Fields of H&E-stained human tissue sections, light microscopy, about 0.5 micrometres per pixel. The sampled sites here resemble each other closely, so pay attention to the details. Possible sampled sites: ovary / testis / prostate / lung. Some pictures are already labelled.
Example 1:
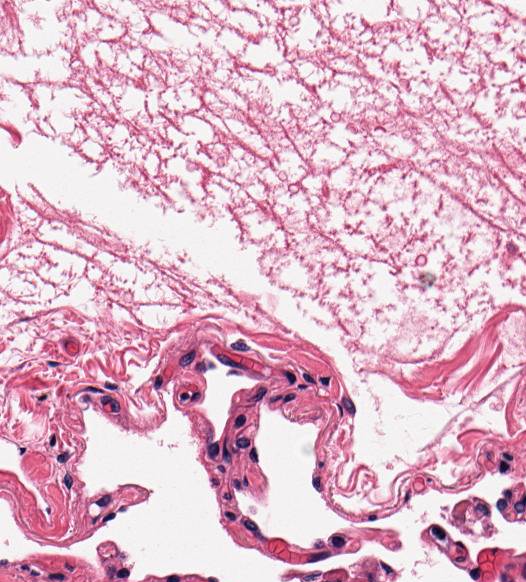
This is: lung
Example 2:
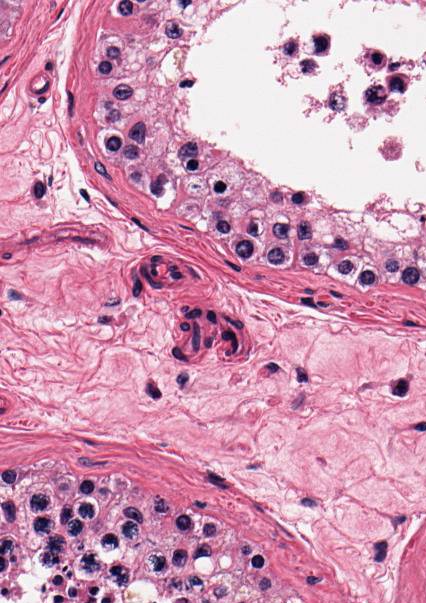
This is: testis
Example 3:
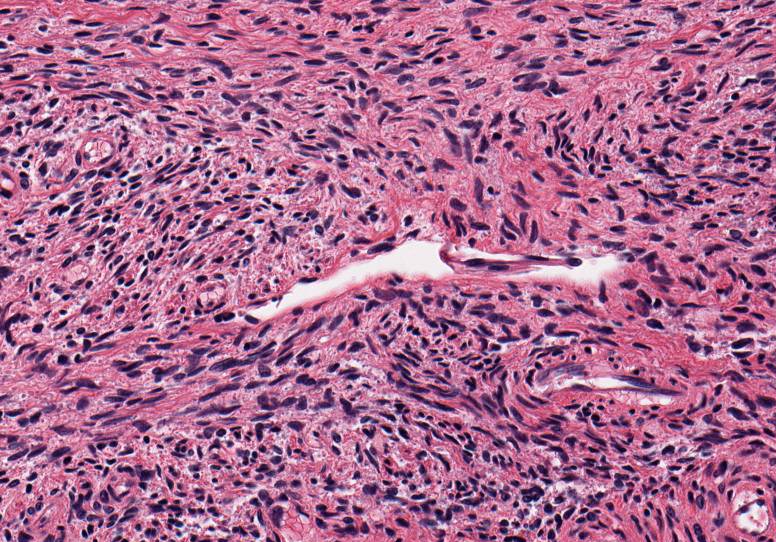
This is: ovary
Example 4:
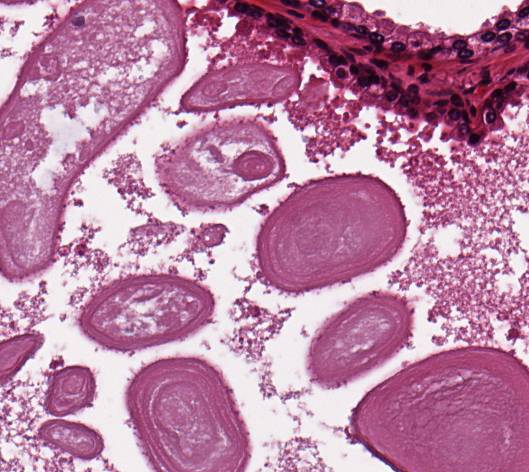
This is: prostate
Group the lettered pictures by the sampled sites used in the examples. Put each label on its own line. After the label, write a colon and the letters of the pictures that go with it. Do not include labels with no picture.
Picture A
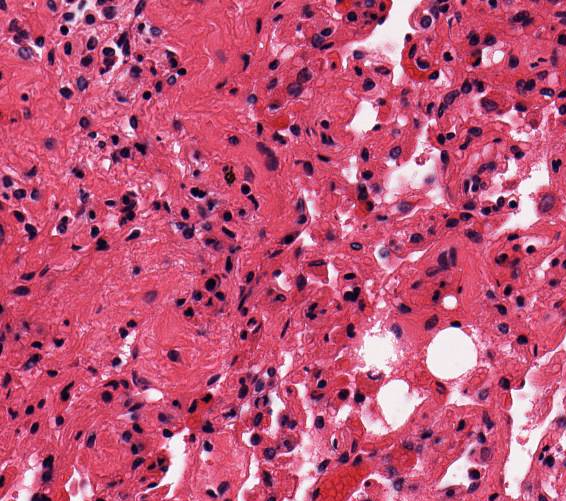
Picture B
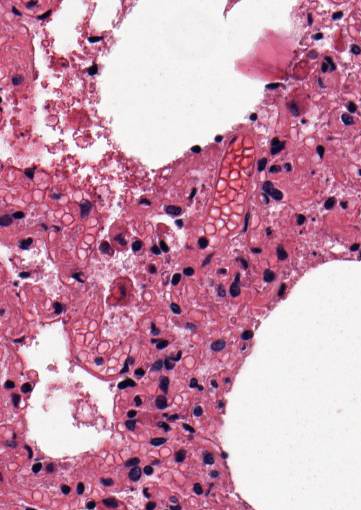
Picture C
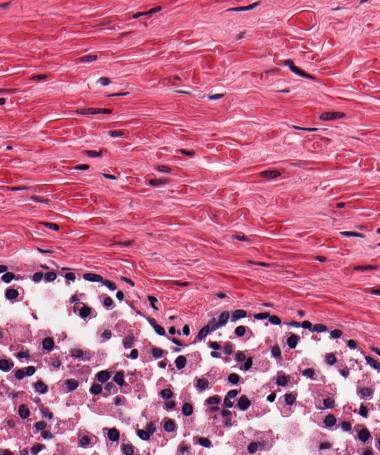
prostate: C
lung: A, B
